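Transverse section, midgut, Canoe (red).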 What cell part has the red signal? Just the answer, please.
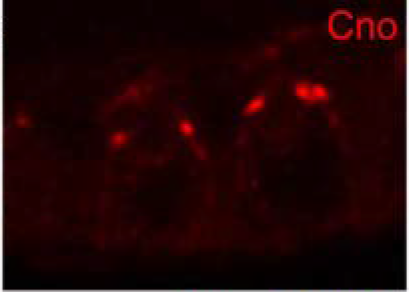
apical corners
